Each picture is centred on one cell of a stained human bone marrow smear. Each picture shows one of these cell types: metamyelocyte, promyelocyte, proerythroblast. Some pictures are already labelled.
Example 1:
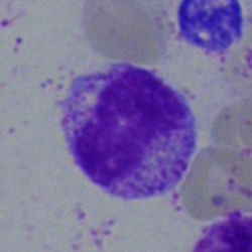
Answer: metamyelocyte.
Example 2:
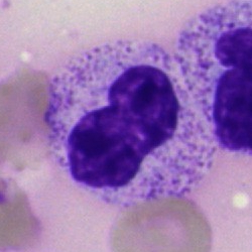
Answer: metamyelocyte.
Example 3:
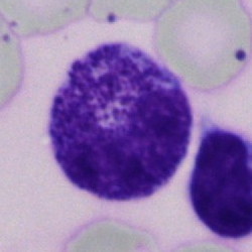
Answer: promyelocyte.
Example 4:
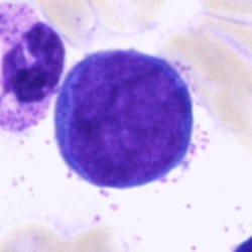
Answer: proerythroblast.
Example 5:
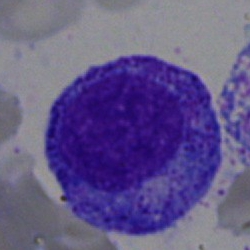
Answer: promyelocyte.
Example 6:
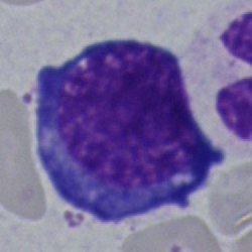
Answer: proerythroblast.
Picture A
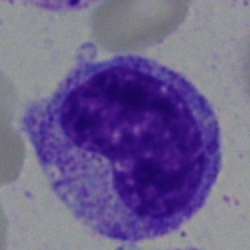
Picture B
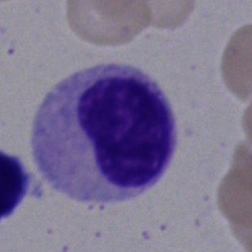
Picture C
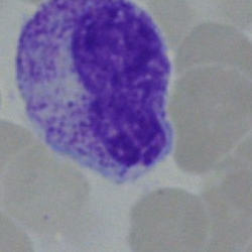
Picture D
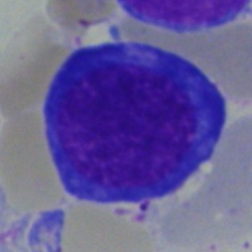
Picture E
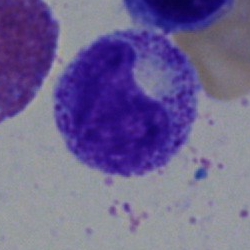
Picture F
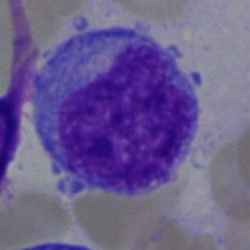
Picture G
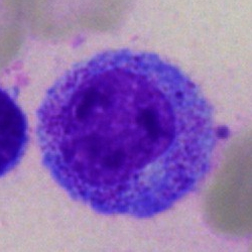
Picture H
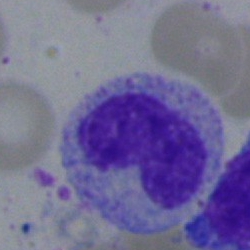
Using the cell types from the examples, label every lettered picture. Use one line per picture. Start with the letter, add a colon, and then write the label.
A: metamyelocyte.
B: metamyelocyte.
C: metamyelocyte.
D: proerythroblast.
E: metamyelocyte.
F: promyelocyte.
G: promyelocyte.
H: metamyelocyte.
